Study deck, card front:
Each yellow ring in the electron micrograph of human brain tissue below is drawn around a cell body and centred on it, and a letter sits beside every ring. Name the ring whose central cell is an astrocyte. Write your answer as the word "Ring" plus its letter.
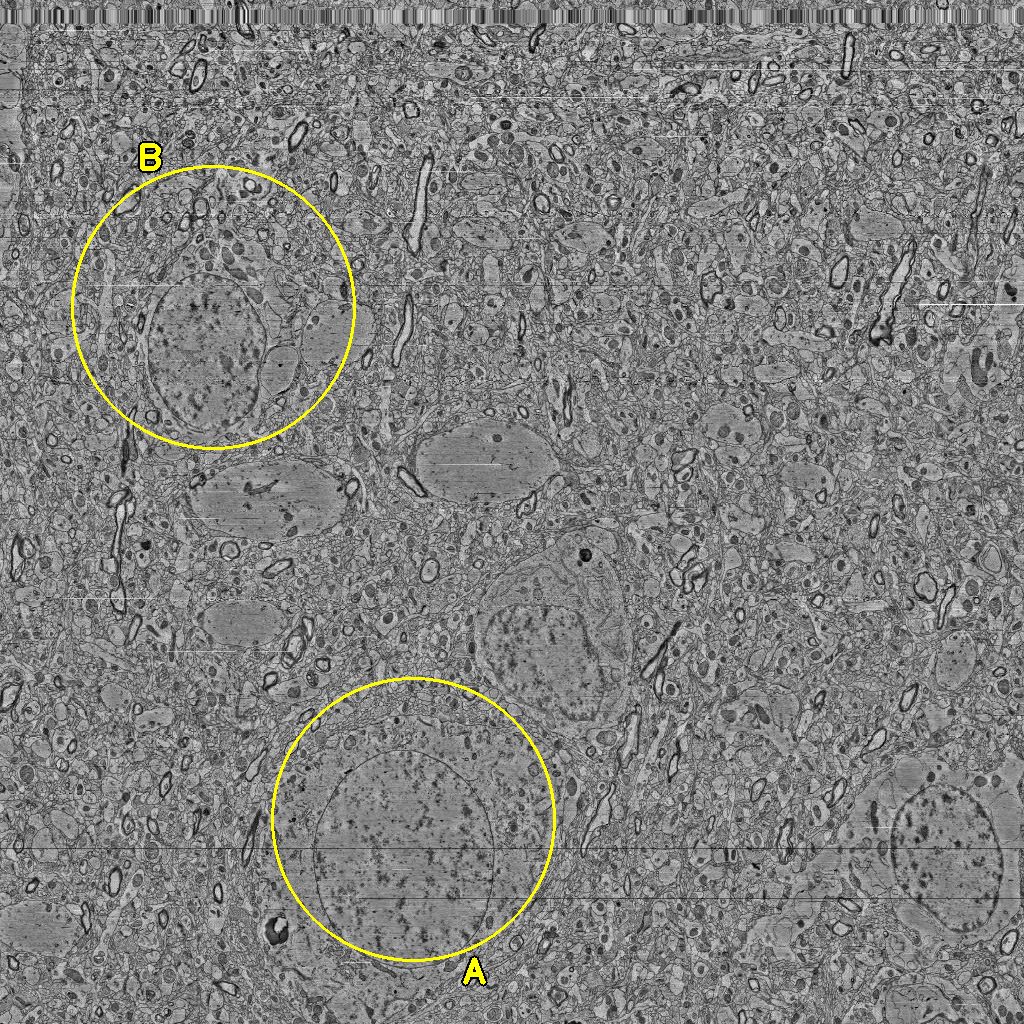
Ring B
